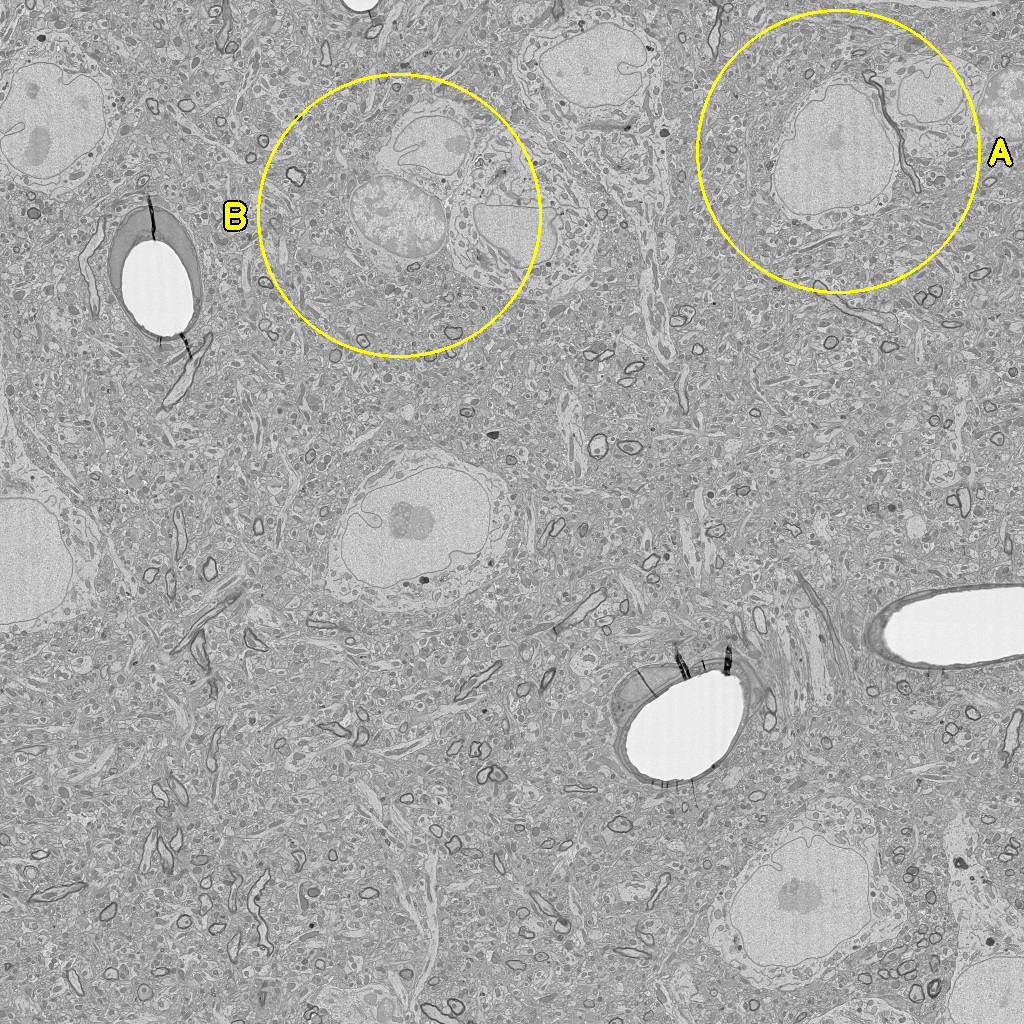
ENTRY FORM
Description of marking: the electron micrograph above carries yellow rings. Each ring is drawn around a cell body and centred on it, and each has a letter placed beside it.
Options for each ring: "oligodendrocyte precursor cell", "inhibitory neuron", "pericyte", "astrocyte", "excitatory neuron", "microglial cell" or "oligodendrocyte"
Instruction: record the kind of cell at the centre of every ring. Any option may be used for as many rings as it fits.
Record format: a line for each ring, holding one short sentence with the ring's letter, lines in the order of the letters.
Ring A surrounds the cell body of an excitatory neuron.
Ring B surrounds the cell body of an oligodendrocyte.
